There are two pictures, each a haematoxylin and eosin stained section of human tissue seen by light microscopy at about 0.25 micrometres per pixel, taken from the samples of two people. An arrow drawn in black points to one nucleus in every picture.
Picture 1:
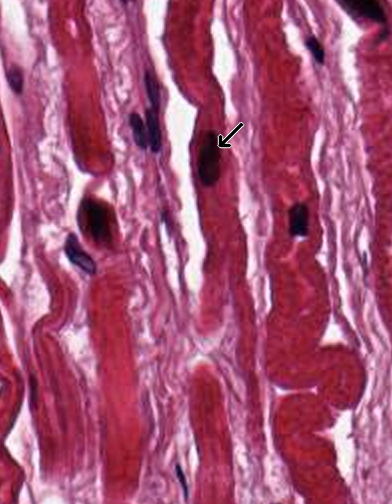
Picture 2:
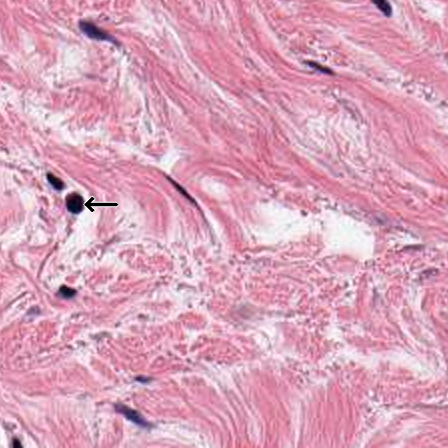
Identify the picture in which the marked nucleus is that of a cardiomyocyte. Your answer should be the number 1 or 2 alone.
1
